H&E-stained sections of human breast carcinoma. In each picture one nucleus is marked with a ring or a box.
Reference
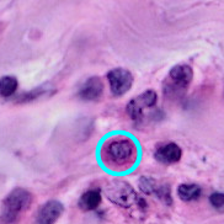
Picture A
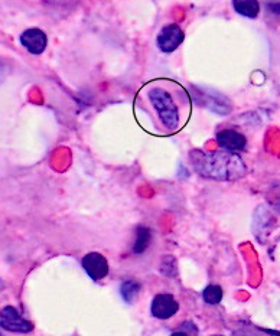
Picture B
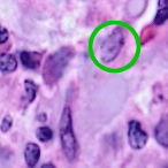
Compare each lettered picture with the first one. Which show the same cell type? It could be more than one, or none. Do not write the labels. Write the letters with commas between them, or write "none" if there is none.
A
